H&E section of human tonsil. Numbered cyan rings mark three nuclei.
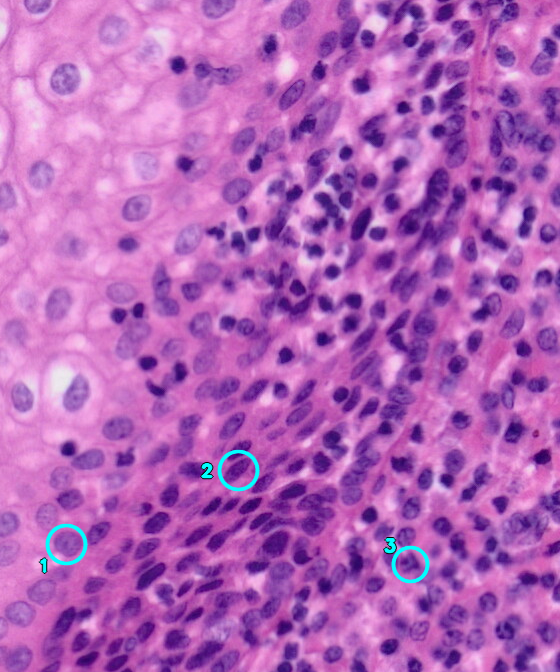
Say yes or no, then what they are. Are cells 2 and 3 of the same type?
No, cell 3 is a plasma cell, but cell 2 is a squamous epithelial cell.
